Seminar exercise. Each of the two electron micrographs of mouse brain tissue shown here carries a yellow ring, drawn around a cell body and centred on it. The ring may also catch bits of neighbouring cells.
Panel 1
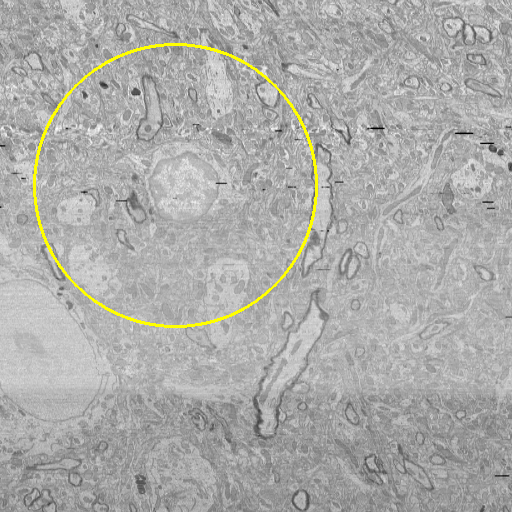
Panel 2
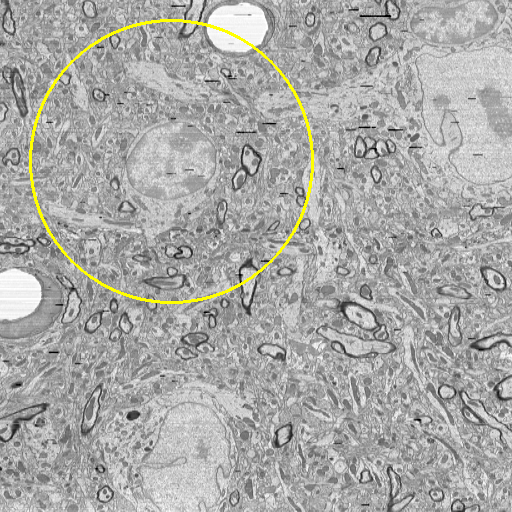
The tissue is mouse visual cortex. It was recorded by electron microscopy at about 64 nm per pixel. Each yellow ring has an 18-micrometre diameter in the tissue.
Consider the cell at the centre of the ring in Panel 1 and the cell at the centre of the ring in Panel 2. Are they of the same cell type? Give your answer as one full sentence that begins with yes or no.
Yes, both cells are of the same type.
